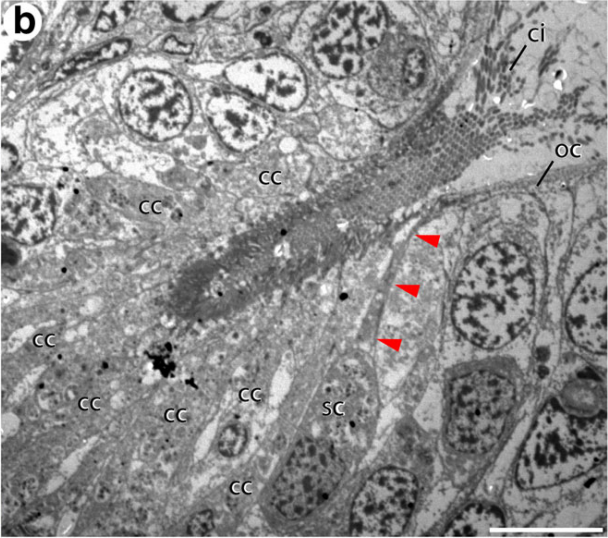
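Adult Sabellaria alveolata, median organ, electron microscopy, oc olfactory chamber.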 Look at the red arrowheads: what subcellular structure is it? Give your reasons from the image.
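The red arrowheads line a thin elongated strand running between neighbouring cells. The strand extends from the cell body region toward the upper surface.
Answer: cellular process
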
